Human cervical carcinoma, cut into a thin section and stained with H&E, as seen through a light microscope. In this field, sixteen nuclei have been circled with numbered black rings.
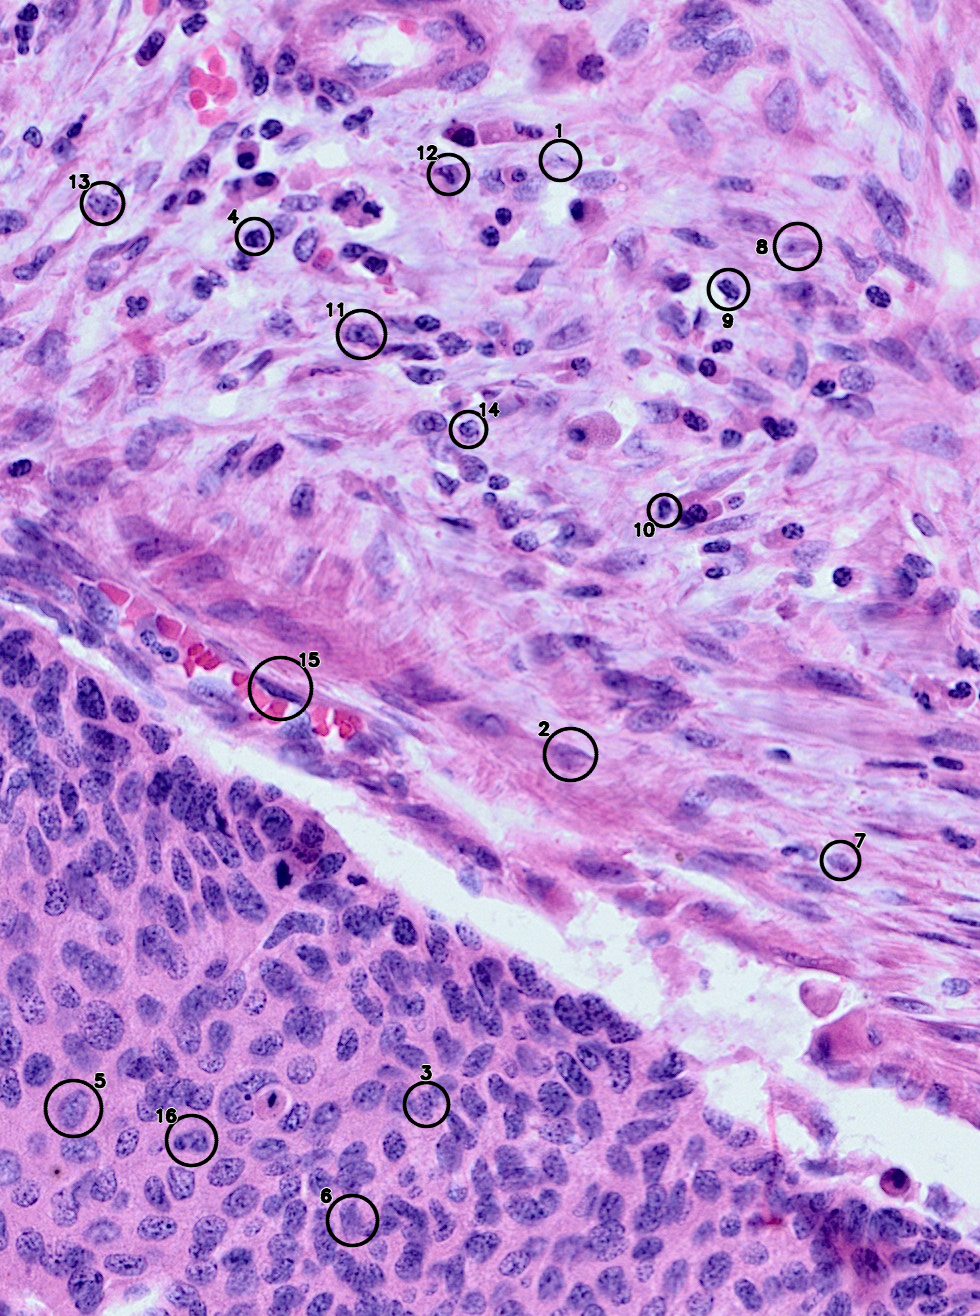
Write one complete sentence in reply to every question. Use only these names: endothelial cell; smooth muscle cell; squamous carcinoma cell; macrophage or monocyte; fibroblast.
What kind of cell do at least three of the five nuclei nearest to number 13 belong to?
Of the five nuclei nearest to number 13, most belong to endothelial cells.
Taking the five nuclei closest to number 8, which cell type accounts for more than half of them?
Fibroblasts account for more than half of the five nuclei nearest to number 8.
